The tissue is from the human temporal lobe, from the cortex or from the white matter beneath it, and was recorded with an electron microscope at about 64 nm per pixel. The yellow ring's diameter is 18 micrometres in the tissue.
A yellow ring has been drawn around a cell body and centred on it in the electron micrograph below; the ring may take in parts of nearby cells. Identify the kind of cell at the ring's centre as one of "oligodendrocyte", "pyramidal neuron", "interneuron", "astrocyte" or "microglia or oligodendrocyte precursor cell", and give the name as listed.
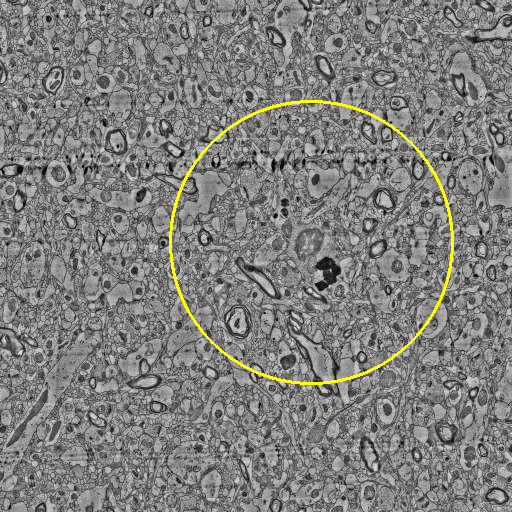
oligodendrocyte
